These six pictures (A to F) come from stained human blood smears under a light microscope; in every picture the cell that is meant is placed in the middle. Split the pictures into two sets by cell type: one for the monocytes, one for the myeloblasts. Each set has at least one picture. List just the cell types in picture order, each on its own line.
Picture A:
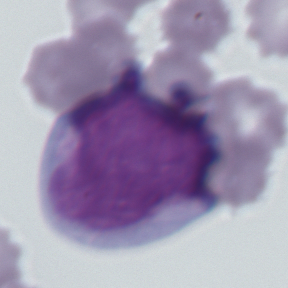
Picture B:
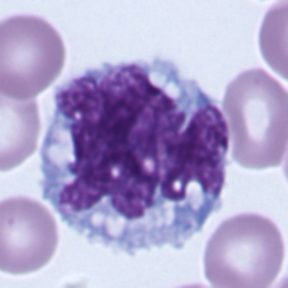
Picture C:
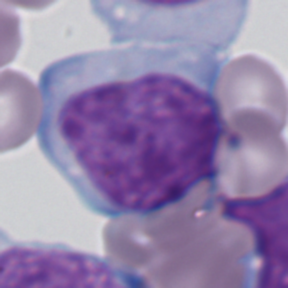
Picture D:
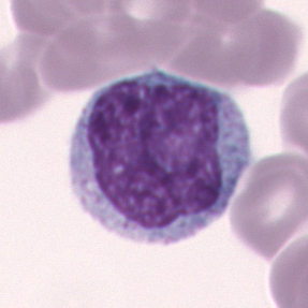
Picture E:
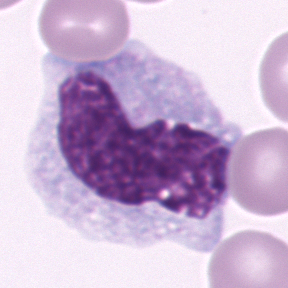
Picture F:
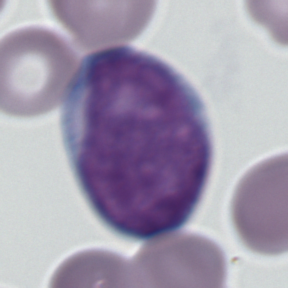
myeloblast
monocyte
myeloblast
monocyte
monocyte
myeloblast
